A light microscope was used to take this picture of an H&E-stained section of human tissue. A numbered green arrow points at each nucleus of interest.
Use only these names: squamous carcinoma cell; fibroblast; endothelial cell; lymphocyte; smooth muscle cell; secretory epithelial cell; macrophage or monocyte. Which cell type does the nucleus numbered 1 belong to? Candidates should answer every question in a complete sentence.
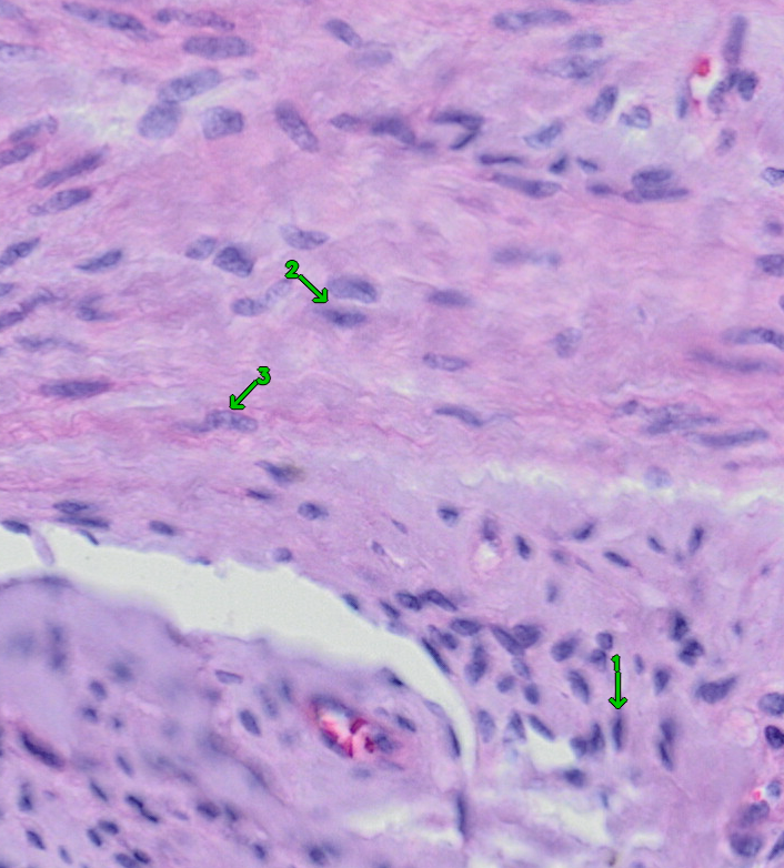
Among the marked cells, number 1 is a fibroblast.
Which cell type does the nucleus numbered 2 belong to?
Cell number 2 in this section is a fibroblast.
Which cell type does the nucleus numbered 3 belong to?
The cell assigned the number 3 is a smooth muscle cell.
